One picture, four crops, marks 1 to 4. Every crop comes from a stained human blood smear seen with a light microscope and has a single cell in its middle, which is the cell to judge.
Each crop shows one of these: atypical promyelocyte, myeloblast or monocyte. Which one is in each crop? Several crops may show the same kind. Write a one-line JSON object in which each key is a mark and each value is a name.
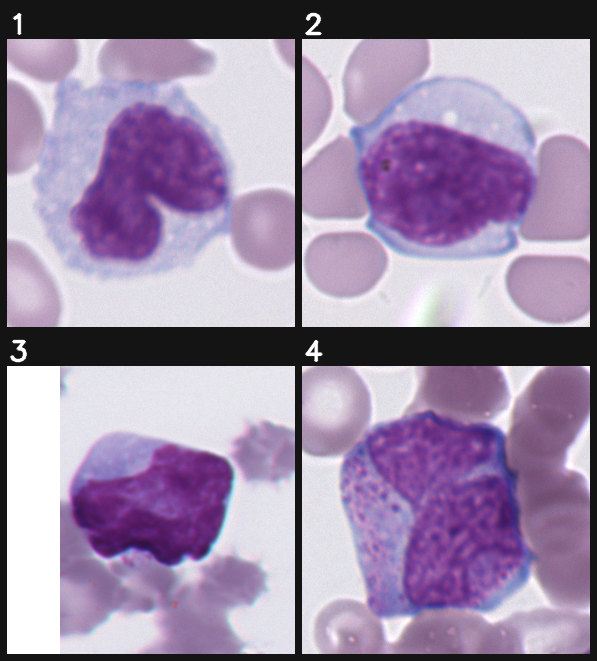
{"1": "monocyte", "2": "myeloblast", "3": "myeloblast", "4": "atypical promyelocyte"}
